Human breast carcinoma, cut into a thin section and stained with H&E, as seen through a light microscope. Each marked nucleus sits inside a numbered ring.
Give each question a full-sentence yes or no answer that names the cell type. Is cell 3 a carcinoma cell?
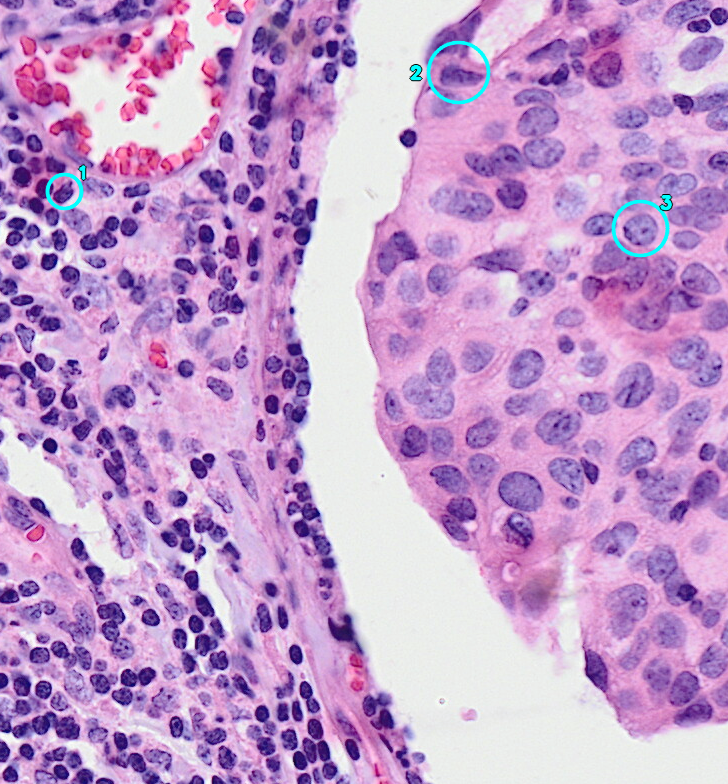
Yes, in the section, number 3 is a carcinoma cell.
